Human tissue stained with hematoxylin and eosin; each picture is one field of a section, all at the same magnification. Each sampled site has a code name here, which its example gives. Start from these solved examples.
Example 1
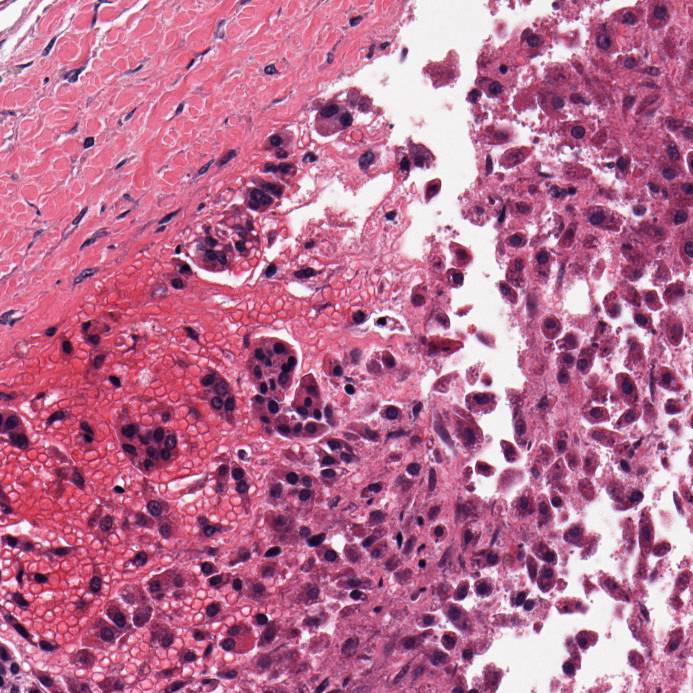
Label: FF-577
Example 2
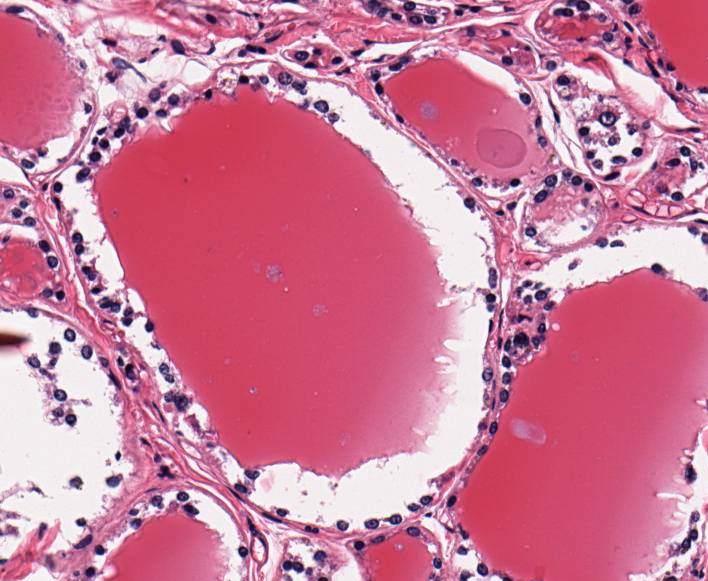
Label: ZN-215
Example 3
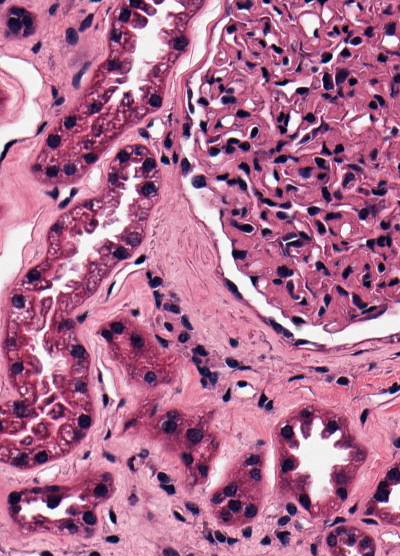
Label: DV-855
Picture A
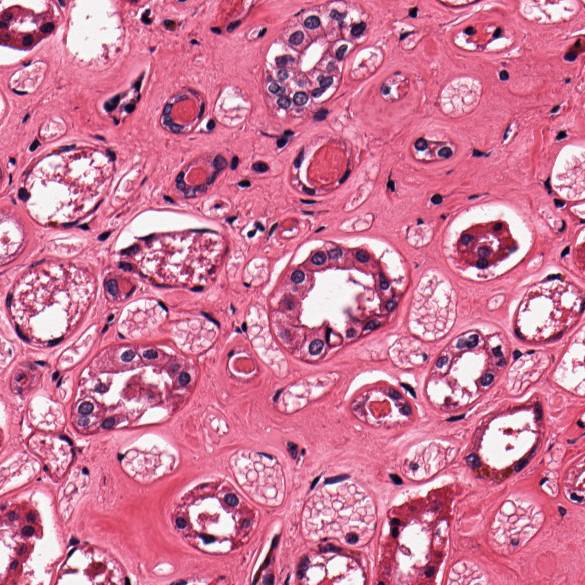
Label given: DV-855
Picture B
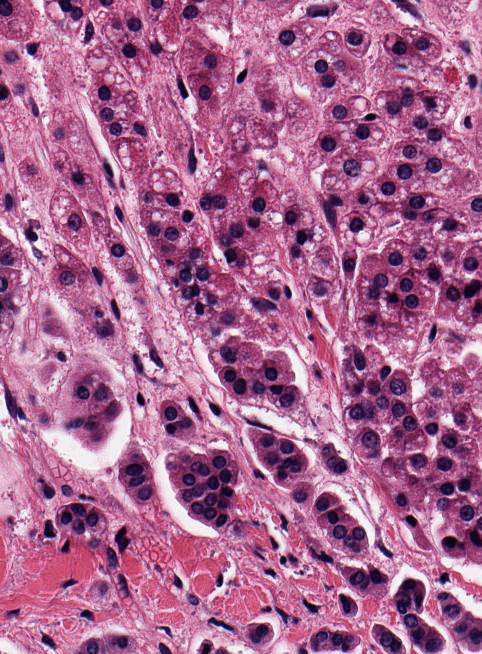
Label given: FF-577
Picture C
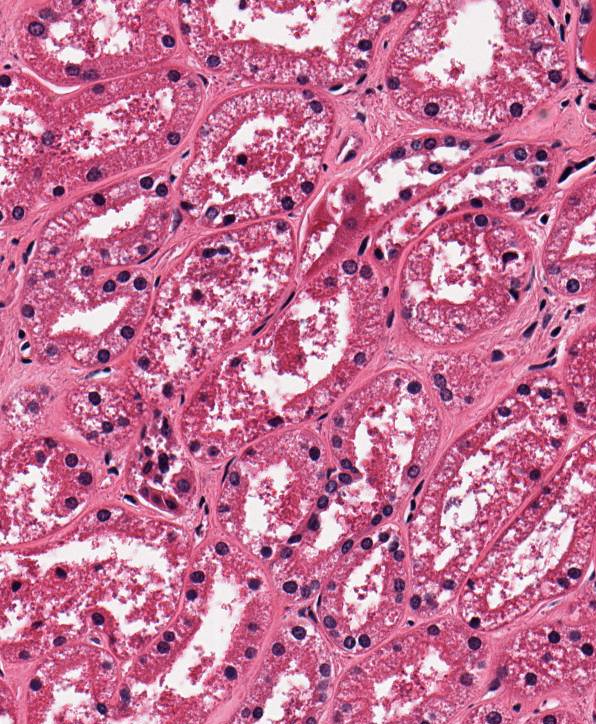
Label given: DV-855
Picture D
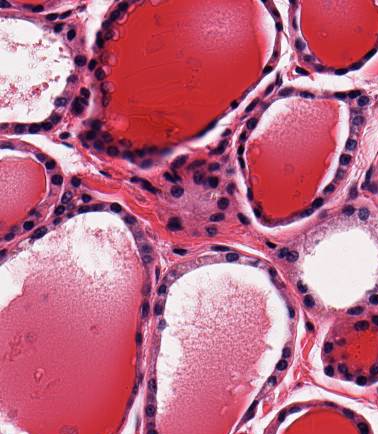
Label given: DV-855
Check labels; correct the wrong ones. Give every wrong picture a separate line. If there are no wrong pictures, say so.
D: change DV-855 to ZN-215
